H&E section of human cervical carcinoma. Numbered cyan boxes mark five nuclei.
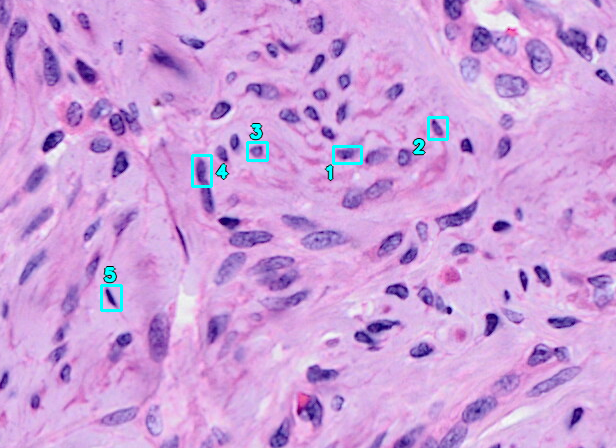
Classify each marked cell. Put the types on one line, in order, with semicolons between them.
smooth muscle cell; smooth muscle cell; smooth muscle cell; fibroblast; fibroblast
